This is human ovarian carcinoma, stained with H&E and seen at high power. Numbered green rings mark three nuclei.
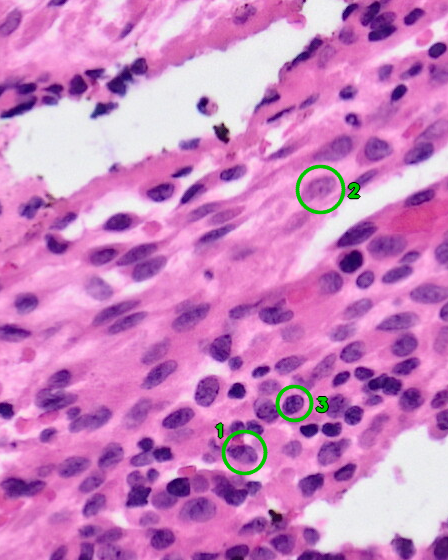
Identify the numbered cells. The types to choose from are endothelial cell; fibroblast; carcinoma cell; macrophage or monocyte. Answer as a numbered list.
1. macrophage or monocyte
2. fibroblast
3. macrophage or monocyte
